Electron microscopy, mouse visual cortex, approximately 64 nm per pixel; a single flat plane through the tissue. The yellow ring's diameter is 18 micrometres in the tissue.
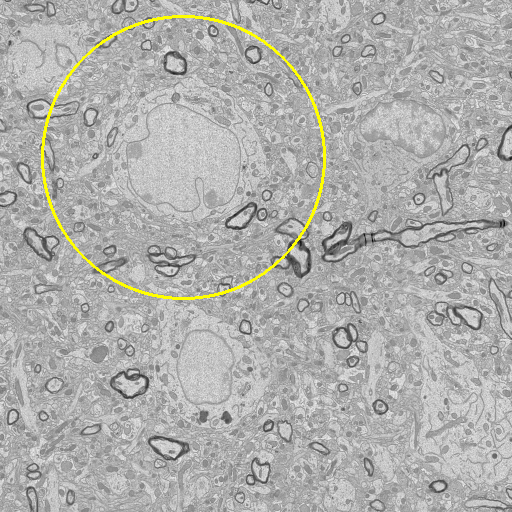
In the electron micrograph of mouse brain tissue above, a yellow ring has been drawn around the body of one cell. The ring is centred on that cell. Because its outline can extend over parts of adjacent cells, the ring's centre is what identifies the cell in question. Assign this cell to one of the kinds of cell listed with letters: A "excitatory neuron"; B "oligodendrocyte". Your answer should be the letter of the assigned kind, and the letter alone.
A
